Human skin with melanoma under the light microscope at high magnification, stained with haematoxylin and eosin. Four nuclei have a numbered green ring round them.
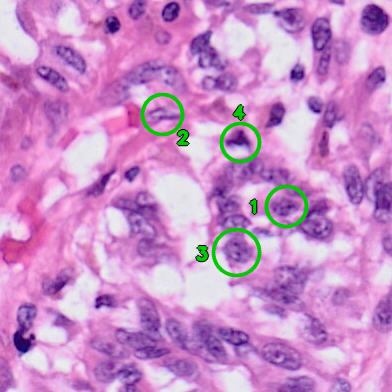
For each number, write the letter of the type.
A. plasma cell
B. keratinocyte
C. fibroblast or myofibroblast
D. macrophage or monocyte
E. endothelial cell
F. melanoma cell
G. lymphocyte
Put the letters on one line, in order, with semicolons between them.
F; E; F; F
